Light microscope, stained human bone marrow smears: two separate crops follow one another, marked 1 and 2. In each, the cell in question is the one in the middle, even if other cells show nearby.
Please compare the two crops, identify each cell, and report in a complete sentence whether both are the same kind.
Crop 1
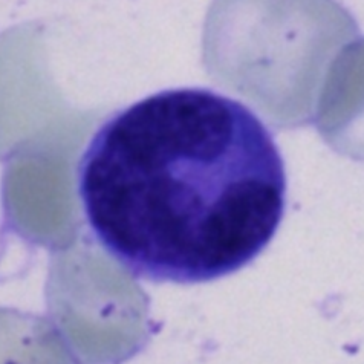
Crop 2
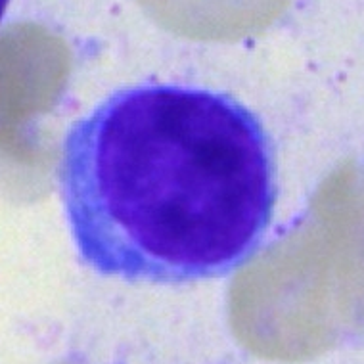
No, shown in crop 1 is a monocyte, and shown in crop 2 is a lymphocyte.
